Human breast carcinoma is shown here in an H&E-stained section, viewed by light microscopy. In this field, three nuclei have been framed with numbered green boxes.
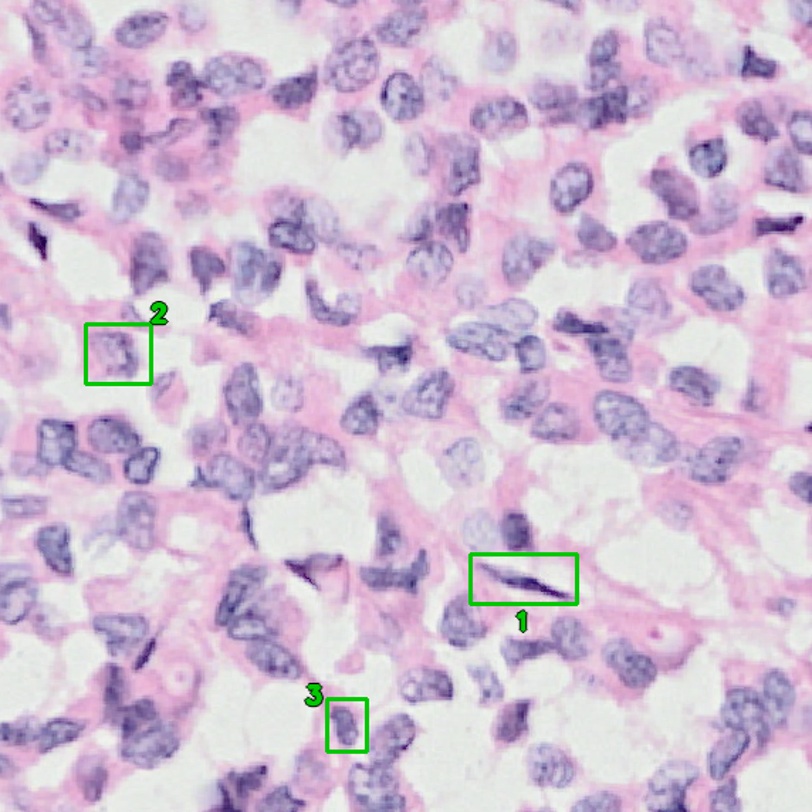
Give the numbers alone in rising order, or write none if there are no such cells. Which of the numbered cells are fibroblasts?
1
